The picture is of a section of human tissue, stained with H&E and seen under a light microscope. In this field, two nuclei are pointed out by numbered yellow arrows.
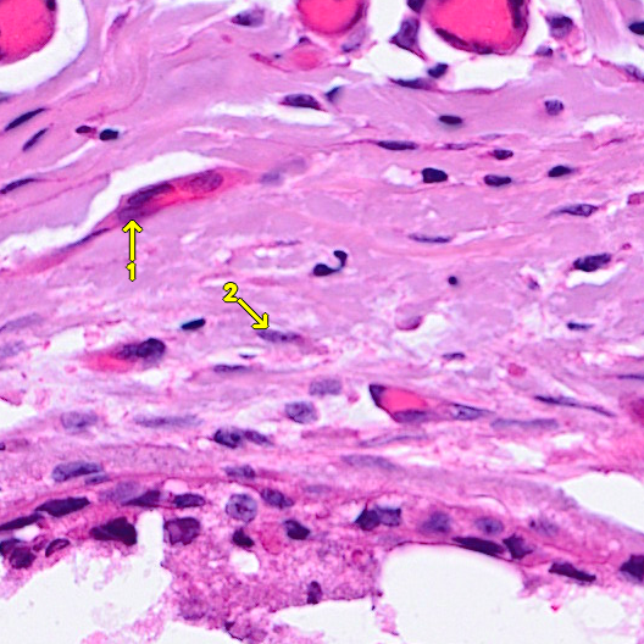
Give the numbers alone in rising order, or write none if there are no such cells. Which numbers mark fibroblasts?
2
